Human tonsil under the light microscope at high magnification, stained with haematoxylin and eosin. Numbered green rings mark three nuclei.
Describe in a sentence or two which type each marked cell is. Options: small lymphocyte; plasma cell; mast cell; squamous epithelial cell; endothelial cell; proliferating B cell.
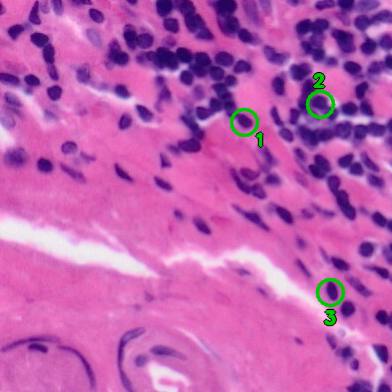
Cells 1 and 3 are mast cells. Cell 2 is a small lymphocyte.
